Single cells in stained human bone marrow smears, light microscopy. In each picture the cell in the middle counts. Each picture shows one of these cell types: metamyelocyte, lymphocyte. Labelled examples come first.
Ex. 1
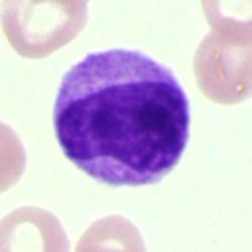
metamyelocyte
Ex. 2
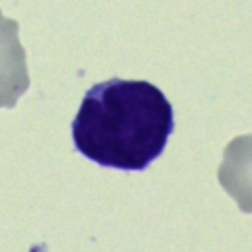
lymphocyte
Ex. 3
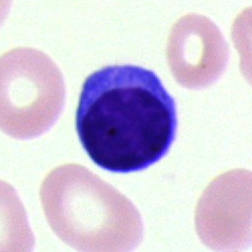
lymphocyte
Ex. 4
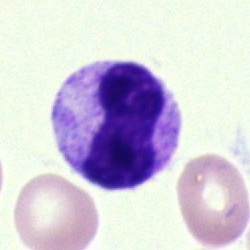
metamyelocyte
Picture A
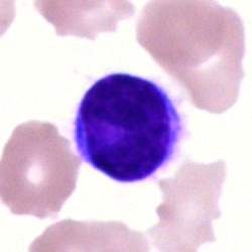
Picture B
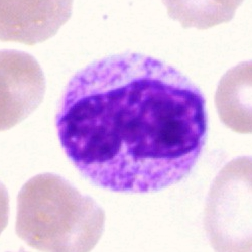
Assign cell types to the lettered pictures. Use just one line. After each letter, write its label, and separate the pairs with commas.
A lymphocyte, B metamyelocyte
